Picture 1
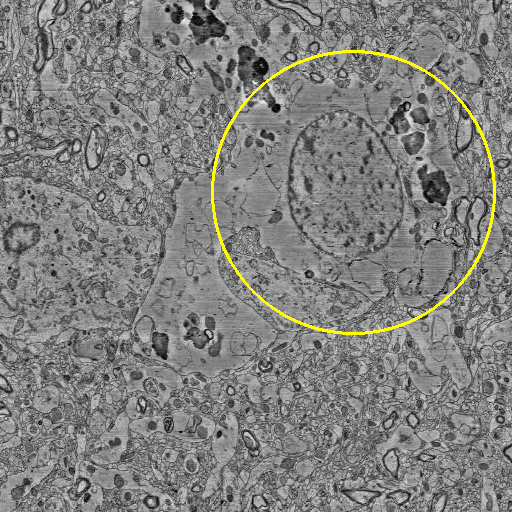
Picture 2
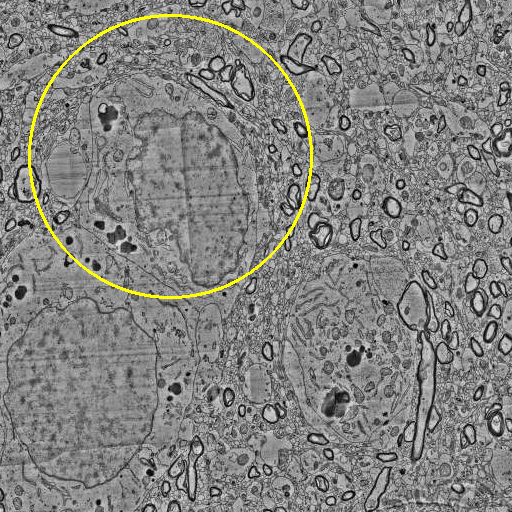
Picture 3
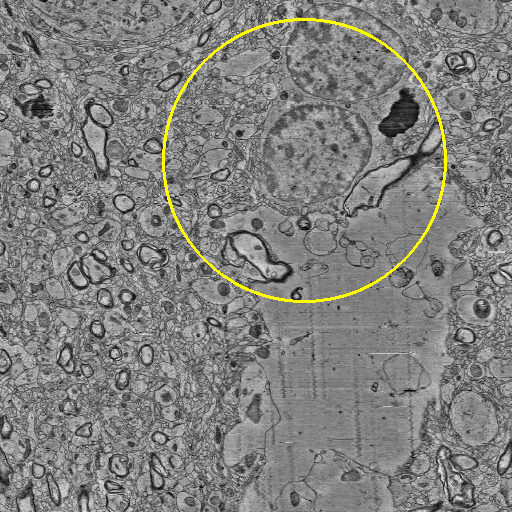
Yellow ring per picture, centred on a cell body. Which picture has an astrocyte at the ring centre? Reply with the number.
1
